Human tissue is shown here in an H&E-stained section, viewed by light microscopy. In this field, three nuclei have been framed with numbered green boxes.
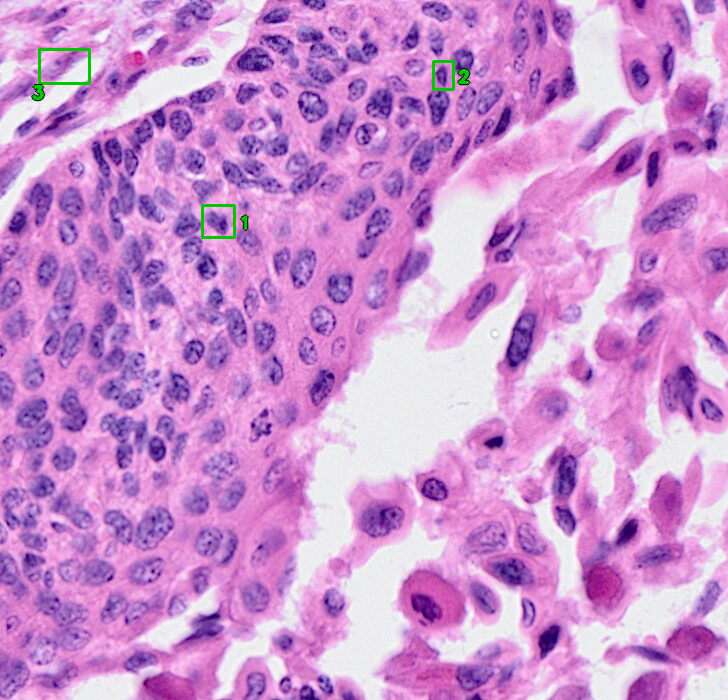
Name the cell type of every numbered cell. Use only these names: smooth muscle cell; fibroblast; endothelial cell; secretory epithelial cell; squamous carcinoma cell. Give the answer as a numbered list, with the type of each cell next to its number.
1. squamous carcinoma cell
2. squamous carcinoma cell
3. fibroblast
